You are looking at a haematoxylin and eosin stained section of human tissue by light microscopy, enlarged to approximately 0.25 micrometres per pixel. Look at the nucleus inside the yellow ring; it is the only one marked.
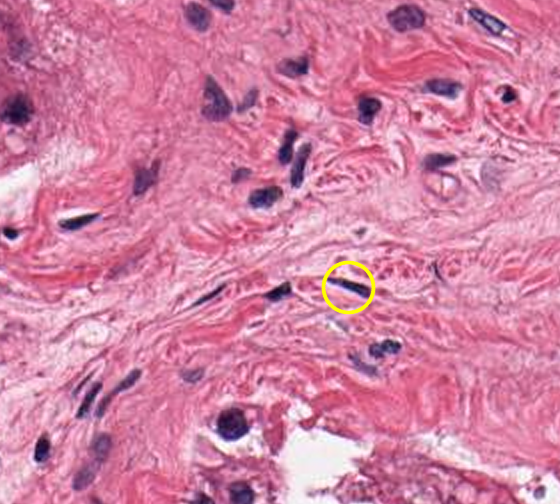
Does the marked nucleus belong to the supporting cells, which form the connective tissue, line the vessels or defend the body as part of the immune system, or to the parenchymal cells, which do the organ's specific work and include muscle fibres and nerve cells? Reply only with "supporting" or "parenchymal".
supporting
